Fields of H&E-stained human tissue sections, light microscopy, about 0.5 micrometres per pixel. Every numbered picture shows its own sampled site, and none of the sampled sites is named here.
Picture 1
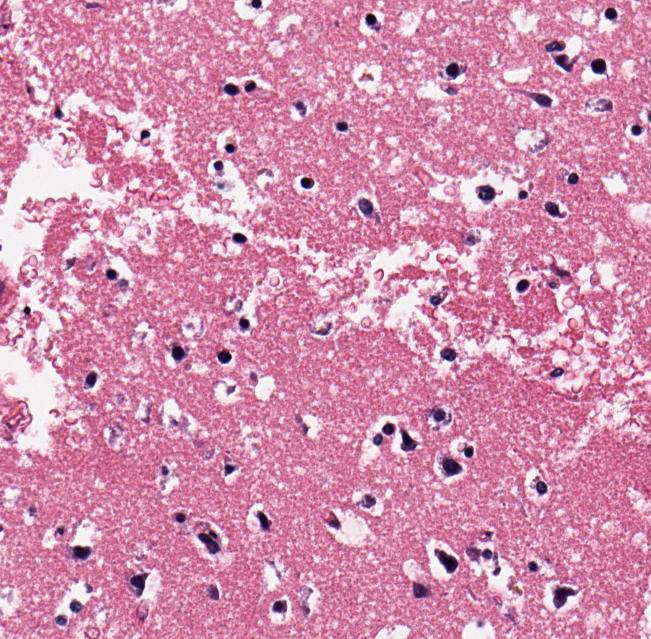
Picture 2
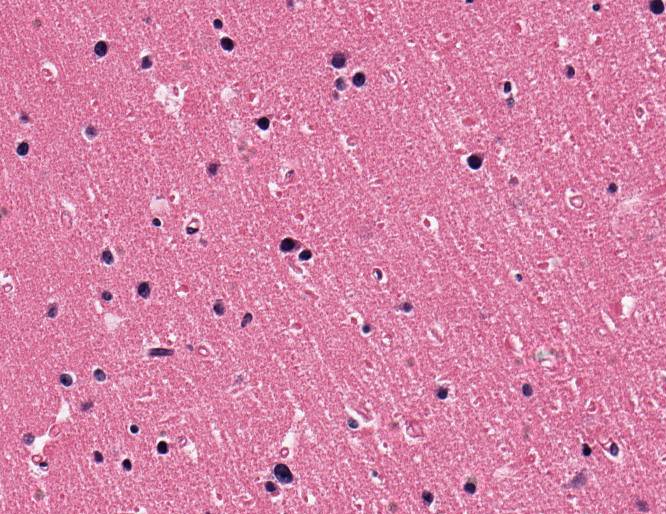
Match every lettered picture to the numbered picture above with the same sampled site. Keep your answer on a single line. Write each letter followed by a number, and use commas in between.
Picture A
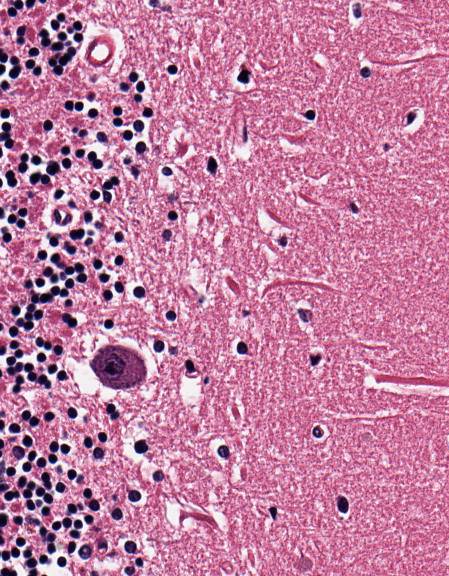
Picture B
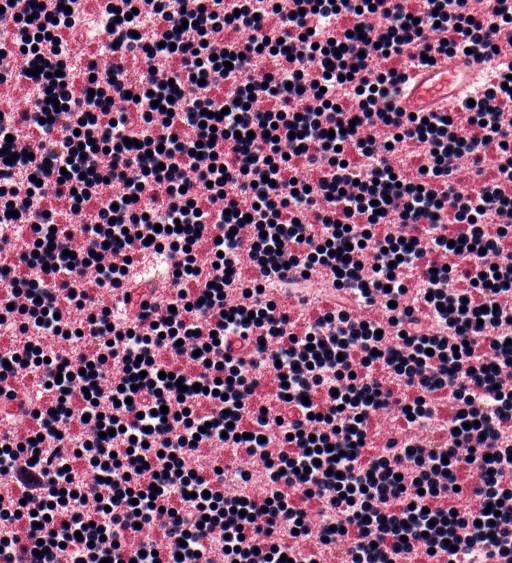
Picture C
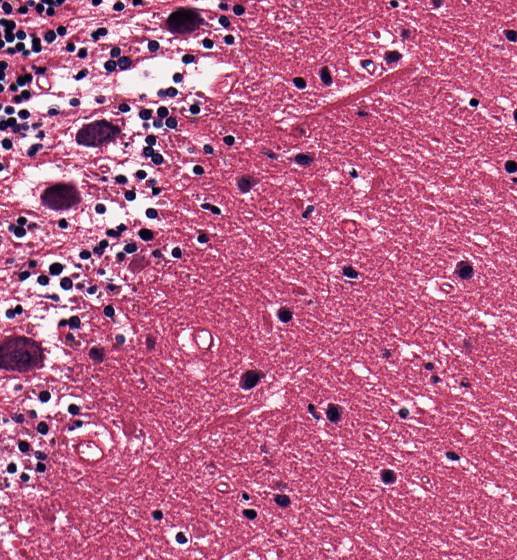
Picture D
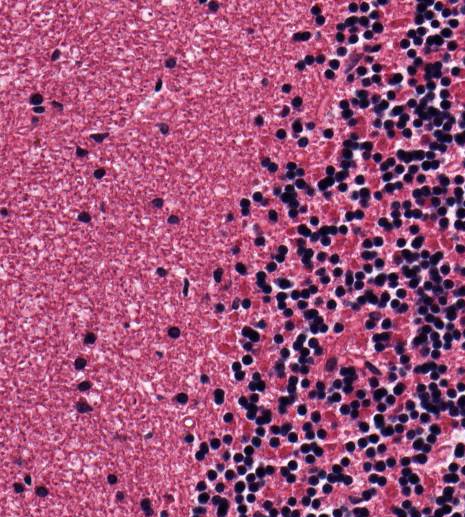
A 2, B 2, C 2, D 2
